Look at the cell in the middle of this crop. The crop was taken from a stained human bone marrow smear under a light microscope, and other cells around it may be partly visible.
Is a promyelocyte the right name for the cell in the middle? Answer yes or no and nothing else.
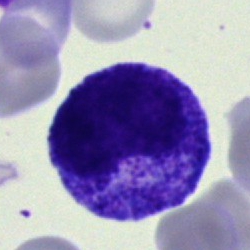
yes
